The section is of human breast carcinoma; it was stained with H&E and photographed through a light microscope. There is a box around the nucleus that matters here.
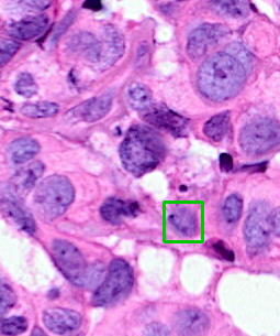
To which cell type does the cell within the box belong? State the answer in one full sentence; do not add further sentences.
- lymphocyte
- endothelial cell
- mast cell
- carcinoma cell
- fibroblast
The correct response here is that the cell within the box is a carcinoma cell.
